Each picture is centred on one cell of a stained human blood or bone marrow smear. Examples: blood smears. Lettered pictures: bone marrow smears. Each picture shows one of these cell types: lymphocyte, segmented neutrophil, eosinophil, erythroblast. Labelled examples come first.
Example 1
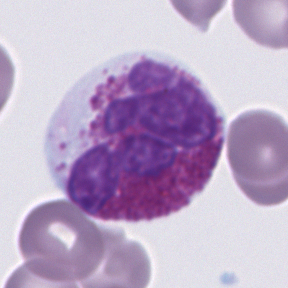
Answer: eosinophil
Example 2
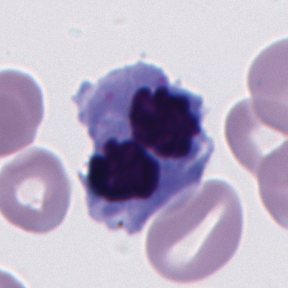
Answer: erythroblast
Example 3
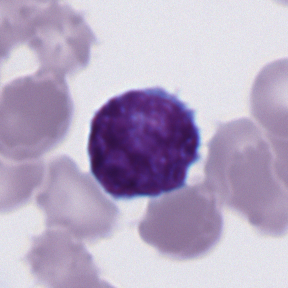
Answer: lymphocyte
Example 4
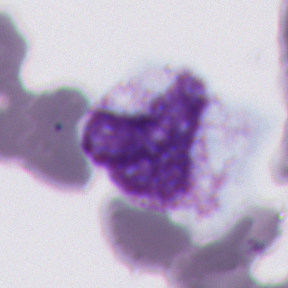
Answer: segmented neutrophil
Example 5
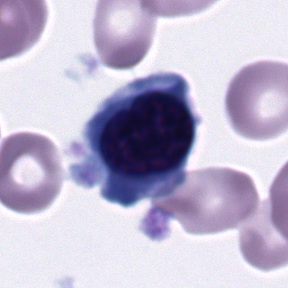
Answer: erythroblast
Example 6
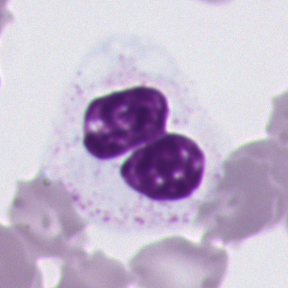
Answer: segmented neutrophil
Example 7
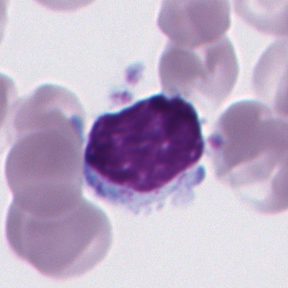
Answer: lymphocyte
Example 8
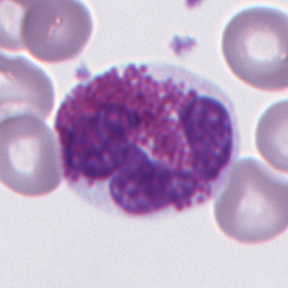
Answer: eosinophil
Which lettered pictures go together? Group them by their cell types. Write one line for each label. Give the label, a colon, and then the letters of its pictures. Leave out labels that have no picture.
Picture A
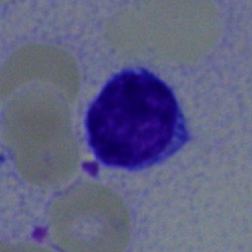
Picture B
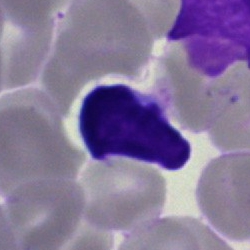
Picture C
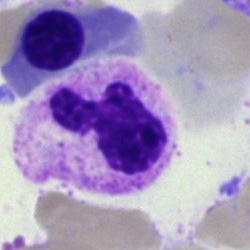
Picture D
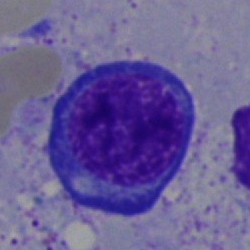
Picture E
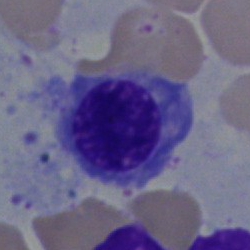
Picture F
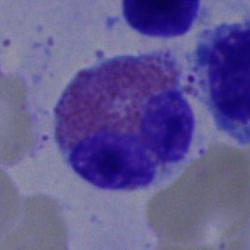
lymphocyte: A, B
segmented neutrophil: C
eosinophil: F
erythroblast: D, E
